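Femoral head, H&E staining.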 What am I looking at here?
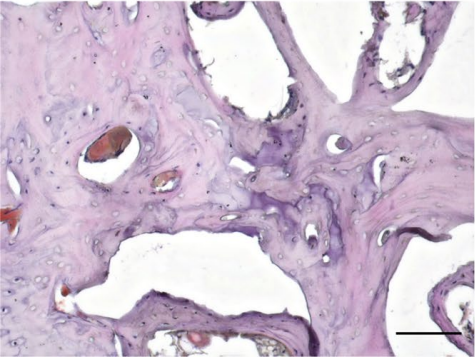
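Irregular pink-to-purple bony trabeculae surround large clear marrow spaces and smaller canals. Some of the canals hold red-brown material that looks like red blood cells. Within the matrix many small lacunae are visible. Some hold a small dark nucleus, but many are pale and empty. A patch of more purple, irregular matrix lies near the centre. The marrow spaces look largely empty, with a little loose tissue at the lower edge.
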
